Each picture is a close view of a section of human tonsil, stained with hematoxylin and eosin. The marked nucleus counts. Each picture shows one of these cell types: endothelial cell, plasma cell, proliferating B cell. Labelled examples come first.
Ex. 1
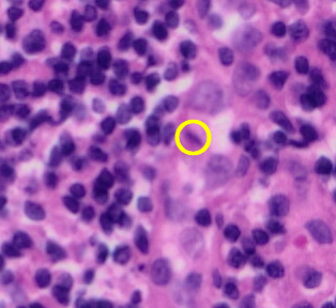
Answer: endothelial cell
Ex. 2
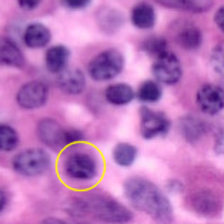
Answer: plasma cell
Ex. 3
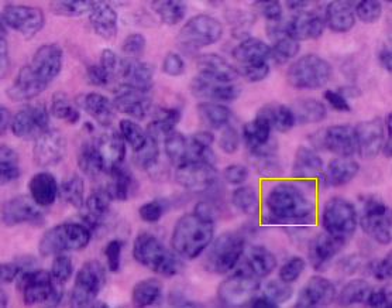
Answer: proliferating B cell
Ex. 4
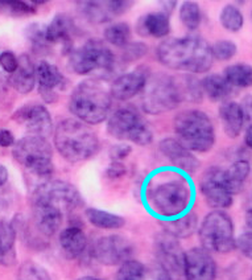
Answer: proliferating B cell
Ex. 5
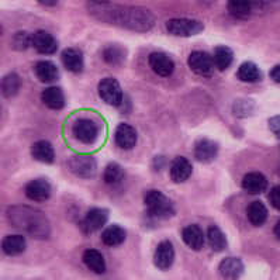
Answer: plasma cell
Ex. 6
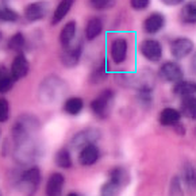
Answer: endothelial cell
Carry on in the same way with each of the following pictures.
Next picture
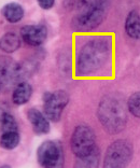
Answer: endothelial cell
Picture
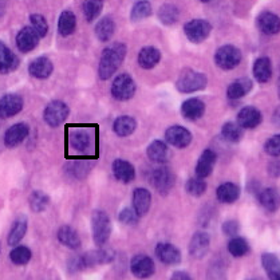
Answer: plasma cell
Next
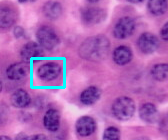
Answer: plasma cell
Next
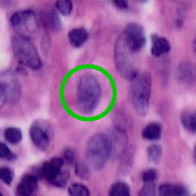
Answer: endothelial cell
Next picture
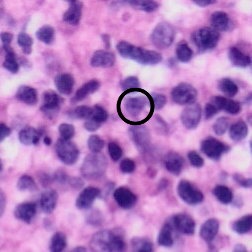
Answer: proliferating B cell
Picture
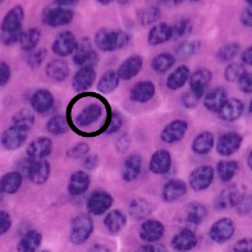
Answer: plasma cell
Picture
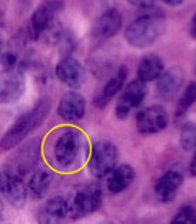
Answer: plasma cell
